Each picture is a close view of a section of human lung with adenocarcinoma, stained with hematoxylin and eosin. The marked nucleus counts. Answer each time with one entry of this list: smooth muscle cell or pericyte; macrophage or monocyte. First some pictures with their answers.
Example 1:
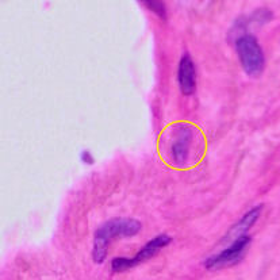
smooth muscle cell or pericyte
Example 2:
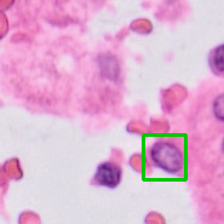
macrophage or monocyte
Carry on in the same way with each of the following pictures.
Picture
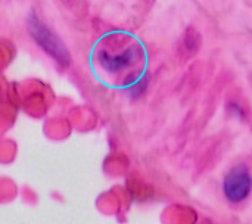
smooth muscle cell or pericyte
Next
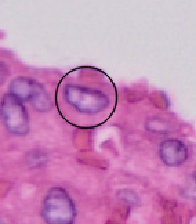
macrophage or monocyte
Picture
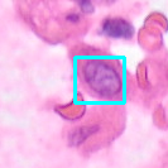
macrophage or monocyte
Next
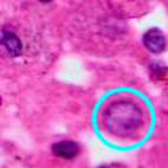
macrophage or monocyte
